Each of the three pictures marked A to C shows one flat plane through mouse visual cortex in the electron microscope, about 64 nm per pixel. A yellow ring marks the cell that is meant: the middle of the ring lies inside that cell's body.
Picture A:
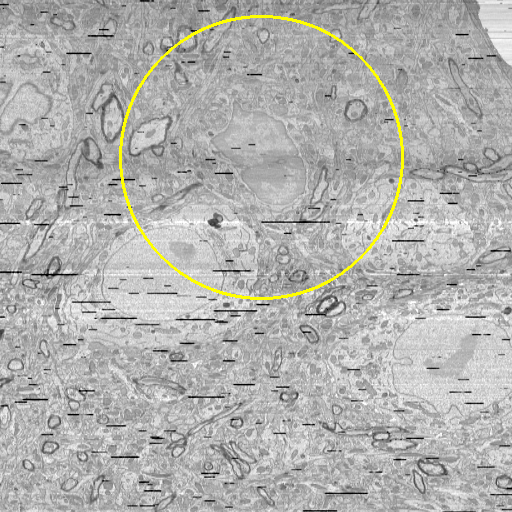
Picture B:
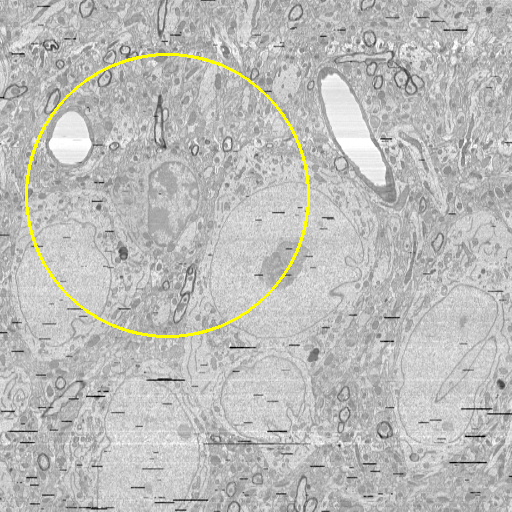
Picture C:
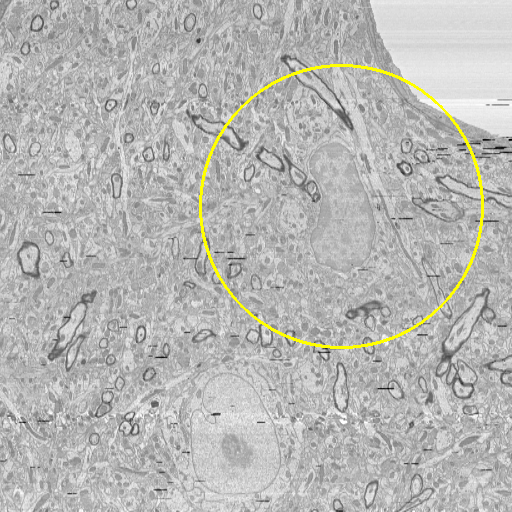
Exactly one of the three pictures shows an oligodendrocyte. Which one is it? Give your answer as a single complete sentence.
The cell in picture B is the oligodendrocyte.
